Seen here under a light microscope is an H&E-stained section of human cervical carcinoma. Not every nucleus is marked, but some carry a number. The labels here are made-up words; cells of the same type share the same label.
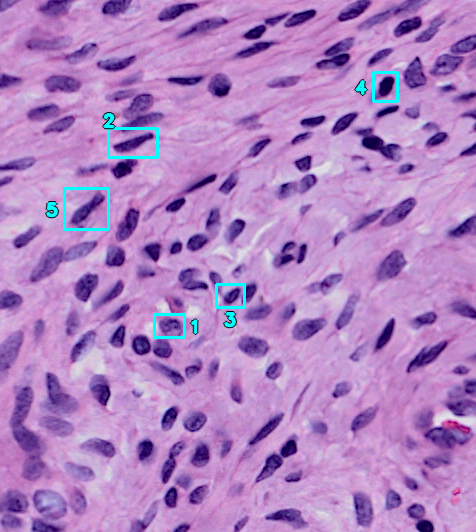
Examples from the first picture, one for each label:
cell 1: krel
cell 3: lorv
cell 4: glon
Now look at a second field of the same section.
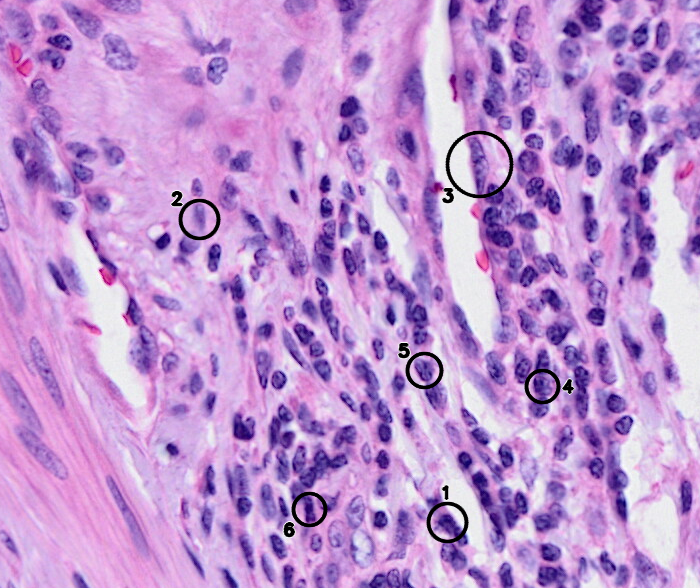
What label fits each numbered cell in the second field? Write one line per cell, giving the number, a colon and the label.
1: glon
2: lorv
3: krel
4: glon
5: glon
6: glon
